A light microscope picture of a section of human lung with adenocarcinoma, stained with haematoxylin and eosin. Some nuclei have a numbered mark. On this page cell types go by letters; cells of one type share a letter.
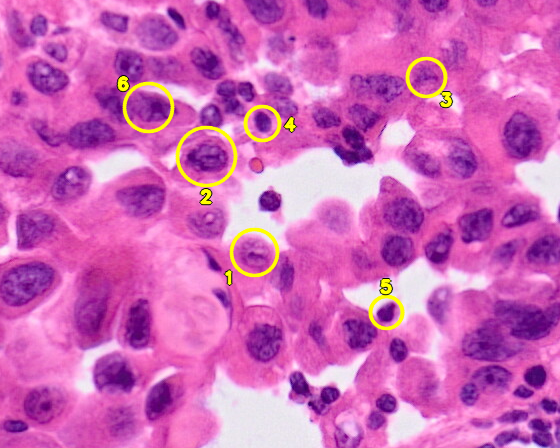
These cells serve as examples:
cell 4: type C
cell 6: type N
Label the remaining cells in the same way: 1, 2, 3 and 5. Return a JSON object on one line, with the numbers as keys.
{"1": "type N", "2": "type N", "3": "type N", "5": "type C"}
